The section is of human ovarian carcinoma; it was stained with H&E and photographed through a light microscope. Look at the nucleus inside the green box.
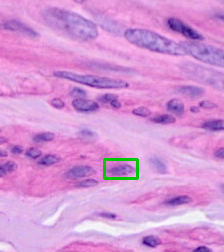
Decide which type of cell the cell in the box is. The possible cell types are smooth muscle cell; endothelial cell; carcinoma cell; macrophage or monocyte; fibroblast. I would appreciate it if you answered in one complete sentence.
In short, the cell in the box on this section is a smooth muscle cell.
